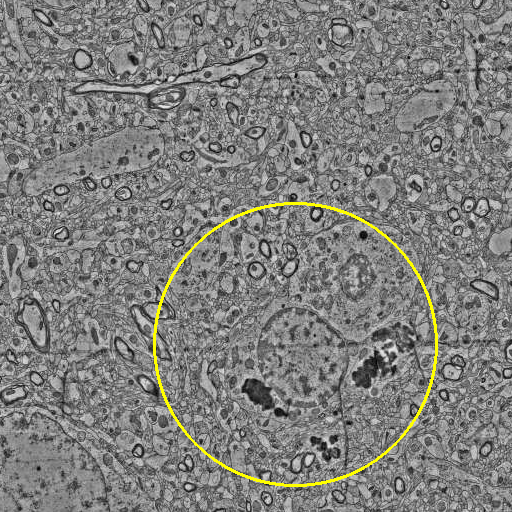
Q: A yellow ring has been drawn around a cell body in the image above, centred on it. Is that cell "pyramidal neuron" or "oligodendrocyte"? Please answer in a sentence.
The ring surrounds the cell body of an oligodendrocyte.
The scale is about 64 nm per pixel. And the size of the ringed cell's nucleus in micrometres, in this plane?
In this plane, the nucleus of the cell at the centre of the ring measures about 7 by 6 micrometres.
